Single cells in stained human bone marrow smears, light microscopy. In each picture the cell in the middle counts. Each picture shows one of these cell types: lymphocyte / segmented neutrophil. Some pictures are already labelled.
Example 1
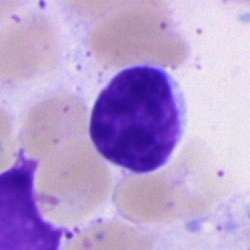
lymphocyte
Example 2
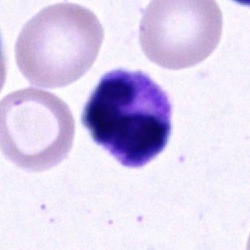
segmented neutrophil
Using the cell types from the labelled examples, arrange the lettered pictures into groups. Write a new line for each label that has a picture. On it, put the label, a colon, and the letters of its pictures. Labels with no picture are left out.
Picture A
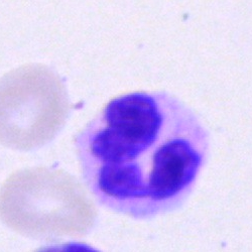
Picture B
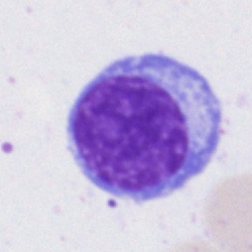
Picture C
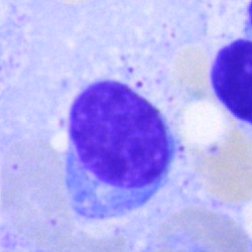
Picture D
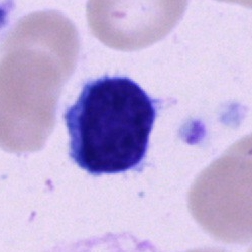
lymphocyte: B, C, D
segmented neutrophil: A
